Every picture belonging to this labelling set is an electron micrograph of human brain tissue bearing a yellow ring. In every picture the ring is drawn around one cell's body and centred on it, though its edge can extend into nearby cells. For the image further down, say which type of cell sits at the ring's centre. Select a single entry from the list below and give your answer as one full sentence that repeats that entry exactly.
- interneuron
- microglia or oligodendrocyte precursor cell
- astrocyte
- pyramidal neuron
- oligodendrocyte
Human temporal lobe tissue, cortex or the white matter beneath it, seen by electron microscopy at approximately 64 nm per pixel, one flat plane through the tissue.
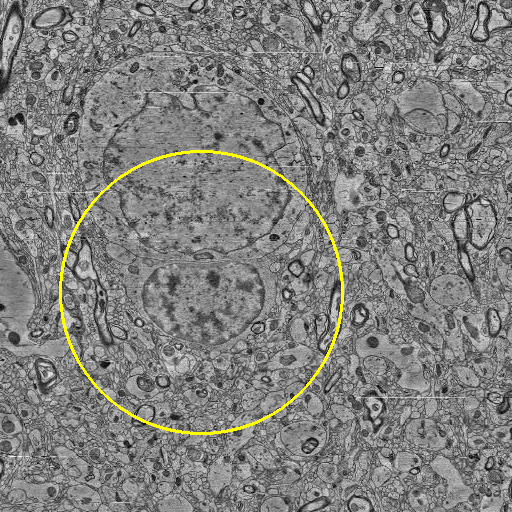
In the picture, an oligodendrocyte is the cell at the centre of the yellow ring.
